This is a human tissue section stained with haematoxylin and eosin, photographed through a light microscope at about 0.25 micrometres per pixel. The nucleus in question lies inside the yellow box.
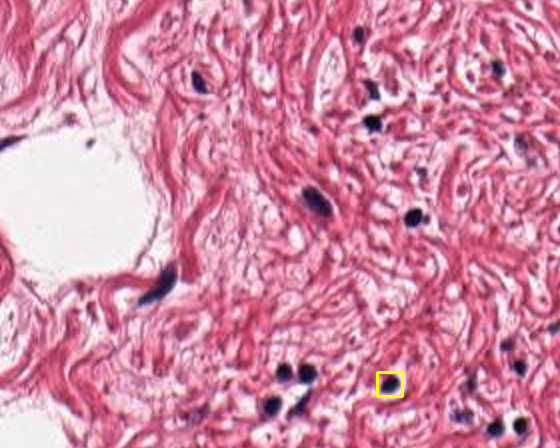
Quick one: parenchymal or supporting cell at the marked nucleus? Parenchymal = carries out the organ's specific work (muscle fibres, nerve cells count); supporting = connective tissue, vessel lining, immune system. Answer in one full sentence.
The marked nucleus is the nucleus belonging to a supporting cell.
